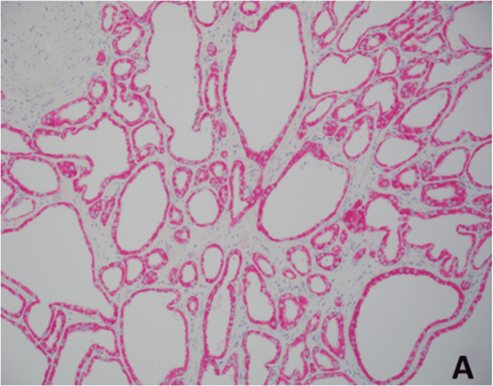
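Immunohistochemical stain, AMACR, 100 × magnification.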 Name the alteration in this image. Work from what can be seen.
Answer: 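Closely packed tubules and cysts of widely varying size. Spaces lined by a single layer of flat to cuboidal cells. Thin fibrous septa separate the spaces. On this evidence: tubulocystic tumor.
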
